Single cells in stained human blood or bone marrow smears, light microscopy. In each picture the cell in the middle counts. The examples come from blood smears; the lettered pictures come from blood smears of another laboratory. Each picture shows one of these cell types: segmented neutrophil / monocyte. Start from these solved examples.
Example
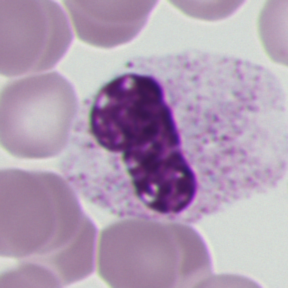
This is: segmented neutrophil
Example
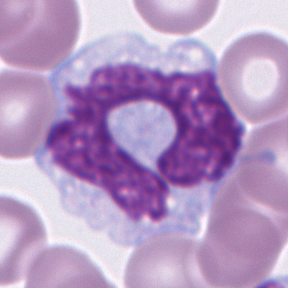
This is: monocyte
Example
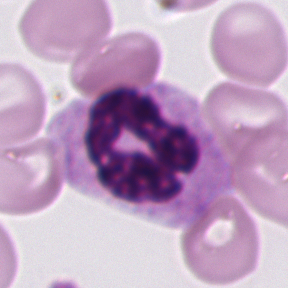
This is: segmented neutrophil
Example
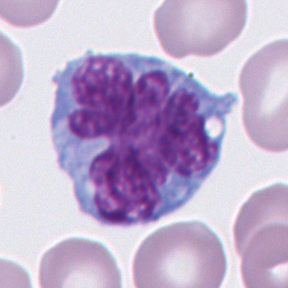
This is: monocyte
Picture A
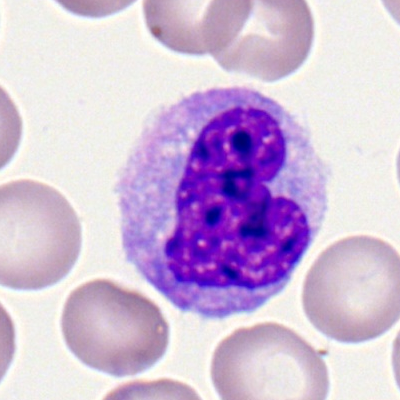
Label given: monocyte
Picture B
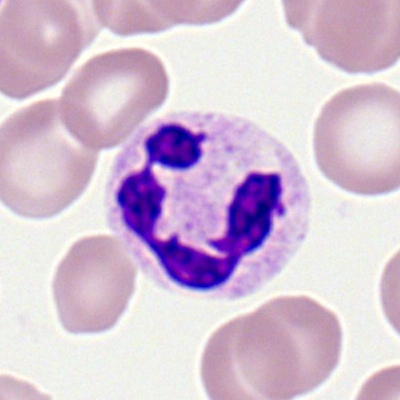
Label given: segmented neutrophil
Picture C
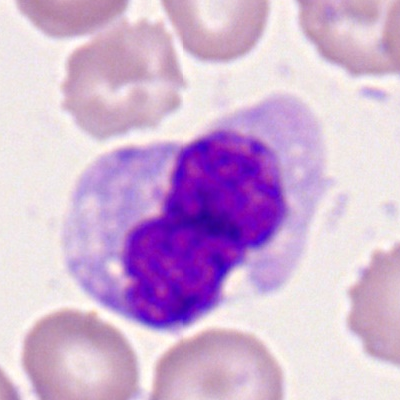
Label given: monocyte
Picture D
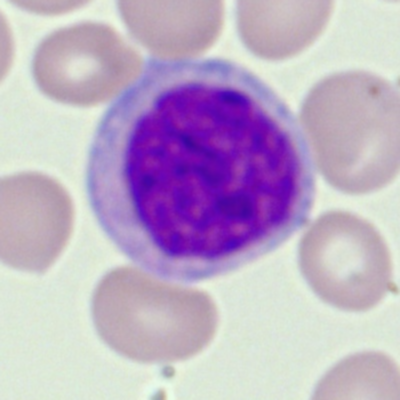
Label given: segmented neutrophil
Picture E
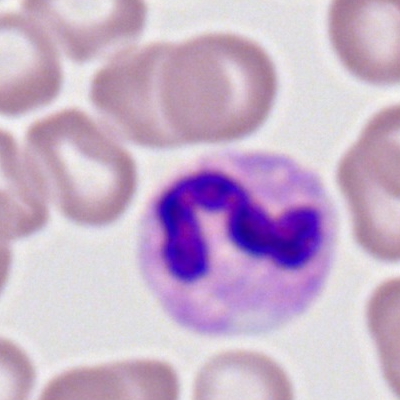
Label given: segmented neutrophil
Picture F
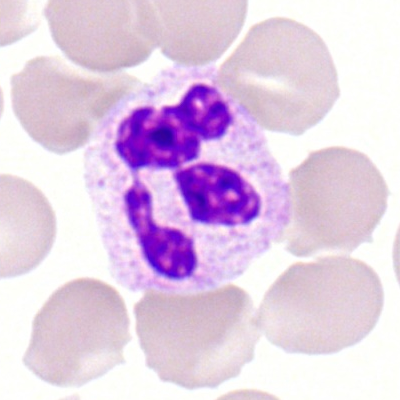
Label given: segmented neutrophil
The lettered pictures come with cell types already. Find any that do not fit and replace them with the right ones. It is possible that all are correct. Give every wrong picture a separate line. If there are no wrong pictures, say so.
D: monocyte, not segmented neutrophil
